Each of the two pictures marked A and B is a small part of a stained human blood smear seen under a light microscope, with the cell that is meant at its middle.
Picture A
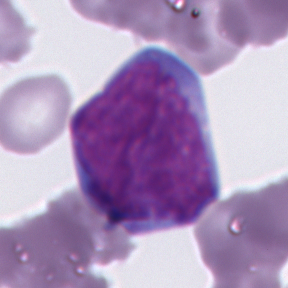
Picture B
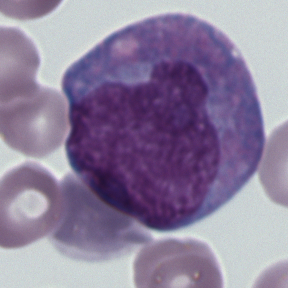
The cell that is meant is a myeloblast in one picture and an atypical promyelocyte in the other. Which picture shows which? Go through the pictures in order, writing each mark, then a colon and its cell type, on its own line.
A: myeloblast
B: atypical promyelocyte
